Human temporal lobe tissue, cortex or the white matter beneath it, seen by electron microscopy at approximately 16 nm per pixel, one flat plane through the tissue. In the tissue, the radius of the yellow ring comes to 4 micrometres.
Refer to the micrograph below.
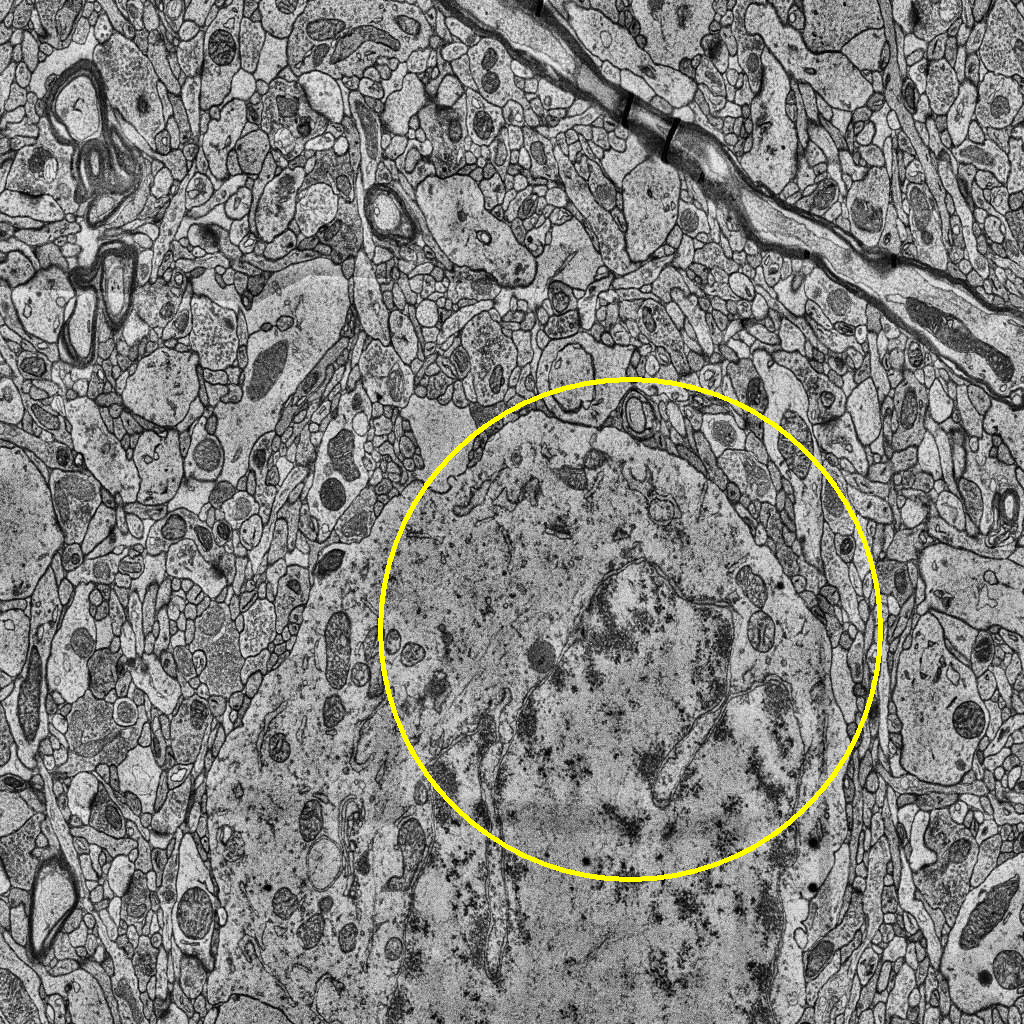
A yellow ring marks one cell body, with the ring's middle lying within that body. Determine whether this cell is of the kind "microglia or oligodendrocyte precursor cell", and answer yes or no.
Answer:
no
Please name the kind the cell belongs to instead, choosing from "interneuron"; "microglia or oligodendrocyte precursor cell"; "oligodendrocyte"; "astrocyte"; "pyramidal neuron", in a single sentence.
The cell in question here is an interneuron.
